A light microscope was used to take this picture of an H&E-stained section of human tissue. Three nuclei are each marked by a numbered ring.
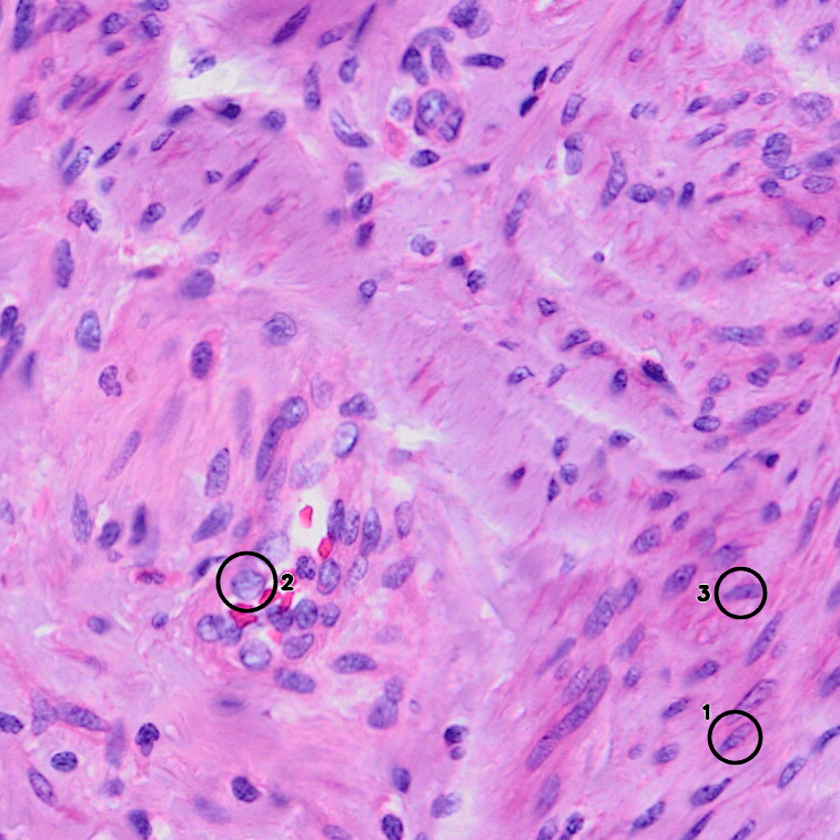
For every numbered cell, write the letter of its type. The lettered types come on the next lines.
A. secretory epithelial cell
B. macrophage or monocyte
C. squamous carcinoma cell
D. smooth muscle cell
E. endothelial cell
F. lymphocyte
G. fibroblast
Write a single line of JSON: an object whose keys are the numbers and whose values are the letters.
{"1": "D", "2": "E", "3": "D"}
